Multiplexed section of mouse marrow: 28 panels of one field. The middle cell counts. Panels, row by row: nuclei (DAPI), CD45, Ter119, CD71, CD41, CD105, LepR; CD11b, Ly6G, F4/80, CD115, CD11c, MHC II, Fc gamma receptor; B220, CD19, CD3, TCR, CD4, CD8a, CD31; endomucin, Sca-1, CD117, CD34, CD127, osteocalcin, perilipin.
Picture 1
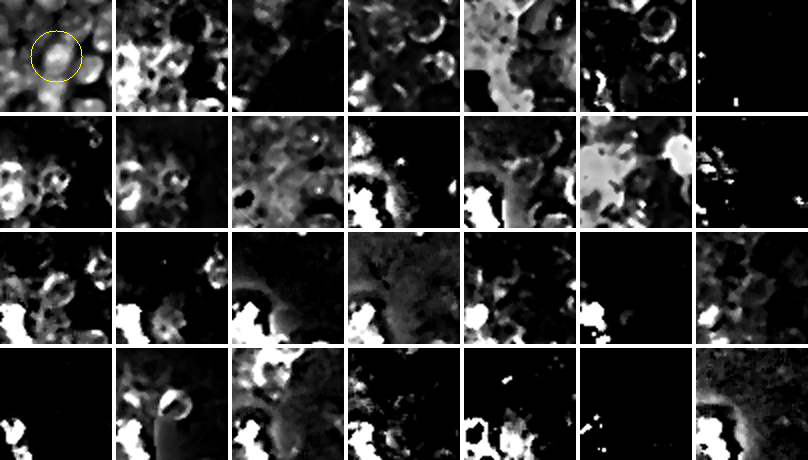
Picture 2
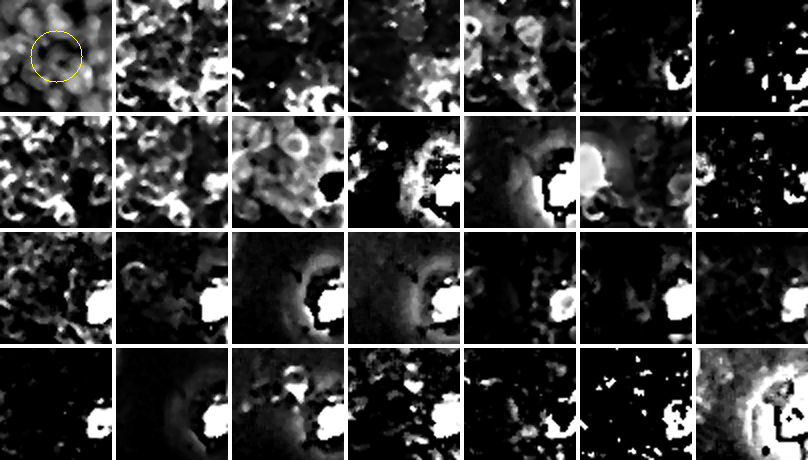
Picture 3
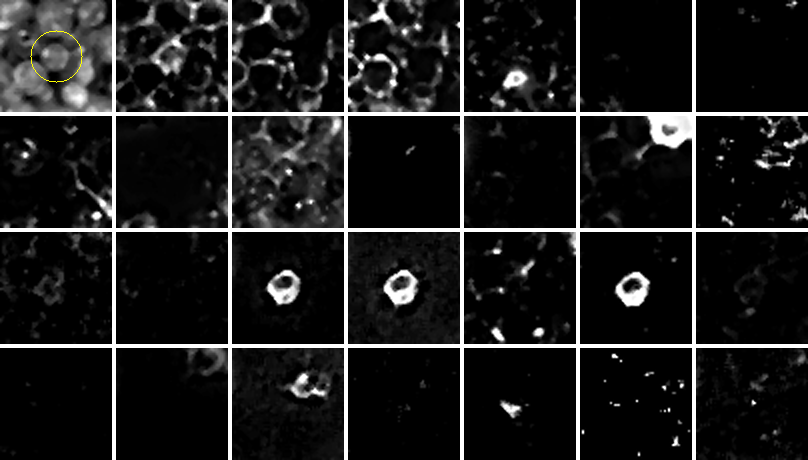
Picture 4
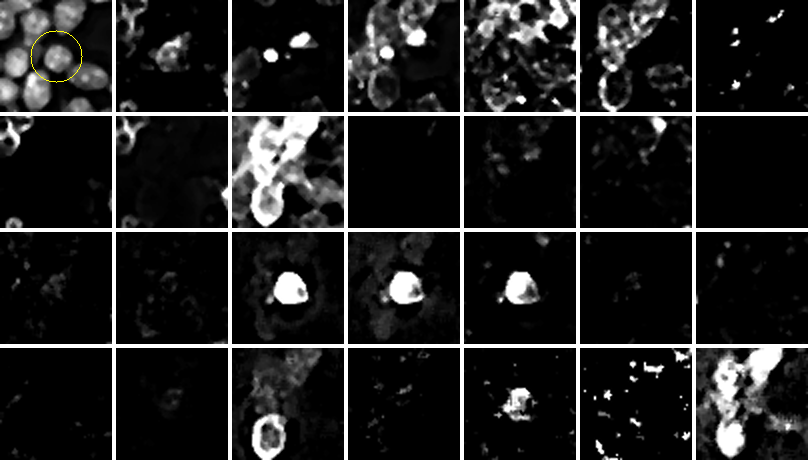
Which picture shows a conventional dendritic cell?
Picture 1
